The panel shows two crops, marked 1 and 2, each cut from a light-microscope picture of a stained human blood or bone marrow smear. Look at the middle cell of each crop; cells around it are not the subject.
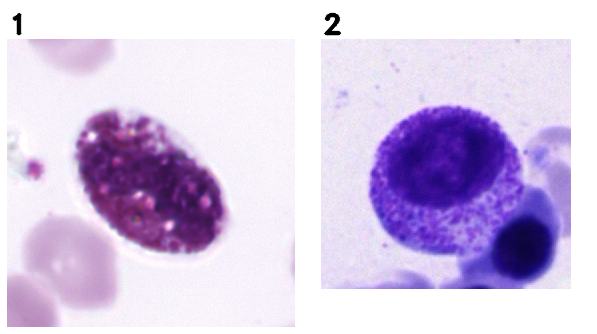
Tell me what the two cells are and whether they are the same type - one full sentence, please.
No, a myelocyte is depicted in crop 2, whereas an eosinophil is depicted in crop 1.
